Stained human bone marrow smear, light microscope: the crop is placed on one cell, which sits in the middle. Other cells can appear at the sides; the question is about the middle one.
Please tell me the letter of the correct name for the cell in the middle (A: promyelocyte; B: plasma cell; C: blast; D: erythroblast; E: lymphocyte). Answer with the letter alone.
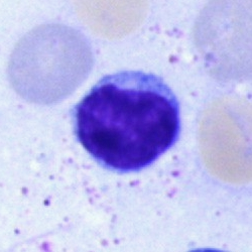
E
